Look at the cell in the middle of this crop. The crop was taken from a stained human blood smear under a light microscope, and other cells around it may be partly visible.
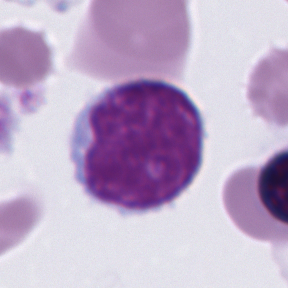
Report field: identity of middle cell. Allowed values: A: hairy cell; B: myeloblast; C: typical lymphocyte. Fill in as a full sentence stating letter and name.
Answer key: option C, the middle cell being a typical lymphocyte.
